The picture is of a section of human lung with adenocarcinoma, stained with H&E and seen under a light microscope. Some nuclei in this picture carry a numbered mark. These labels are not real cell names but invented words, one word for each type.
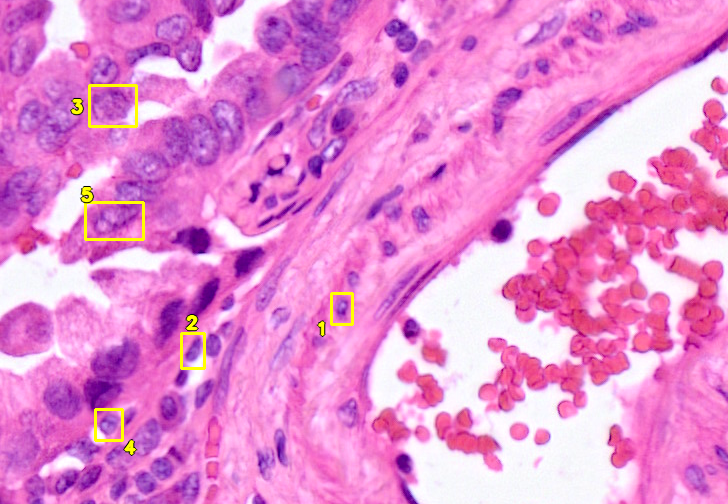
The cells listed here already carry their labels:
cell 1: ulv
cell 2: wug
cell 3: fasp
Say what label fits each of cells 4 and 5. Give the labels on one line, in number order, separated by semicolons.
wug; fasp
